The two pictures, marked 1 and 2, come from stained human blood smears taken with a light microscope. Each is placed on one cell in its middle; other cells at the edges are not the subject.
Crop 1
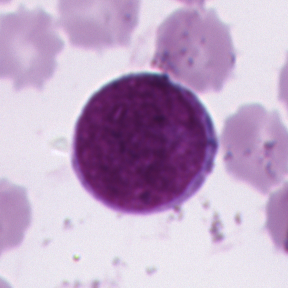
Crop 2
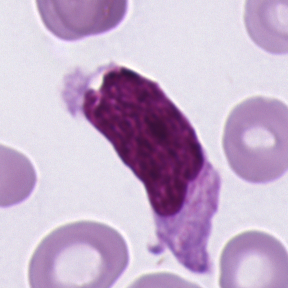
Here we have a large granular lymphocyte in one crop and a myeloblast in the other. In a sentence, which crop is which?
In crop 1, a myeloblast is present; in crop 2, a large granular lymphocyte is present.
